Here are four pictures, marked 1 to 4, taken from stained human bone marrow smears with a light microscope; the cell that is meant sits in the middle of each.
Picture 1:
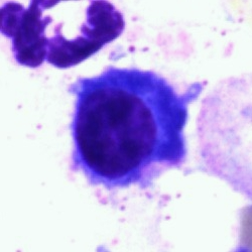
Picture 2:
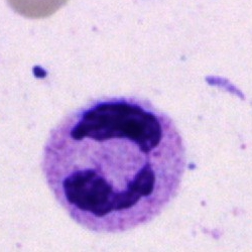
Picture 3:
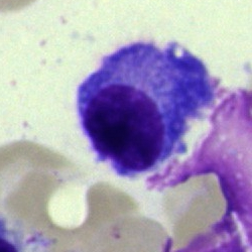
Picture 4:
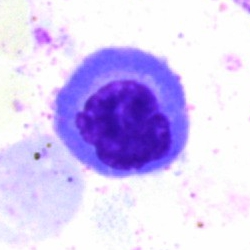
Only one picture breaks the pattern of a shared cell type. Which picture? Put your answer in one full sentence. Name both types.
All pictures except 2 show plasma cells; picture 2 shows a segmented neutrophil.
